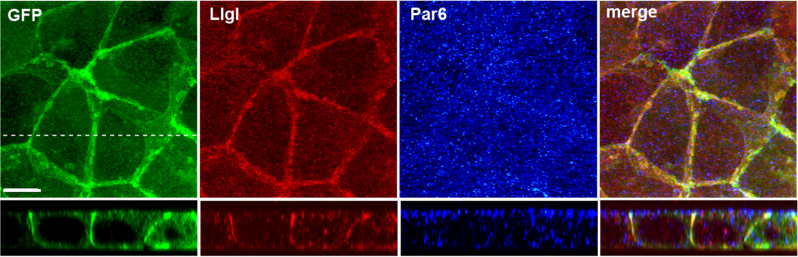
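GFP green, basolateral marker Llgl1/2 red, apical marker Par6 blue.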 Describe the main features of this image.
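This is a confocal view of a cultured epithelial cell monolayer seen from above, with a side view through the layer shown beneath each channel. The cells are polygonal and fit tightly against one another, so their borders form a continuous network. The green and red channels both outline the cell borders sharply, and in the merged image they overlap as yellow lines. The blue channel is a fine granular speckle spread over the cell surfaces.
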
